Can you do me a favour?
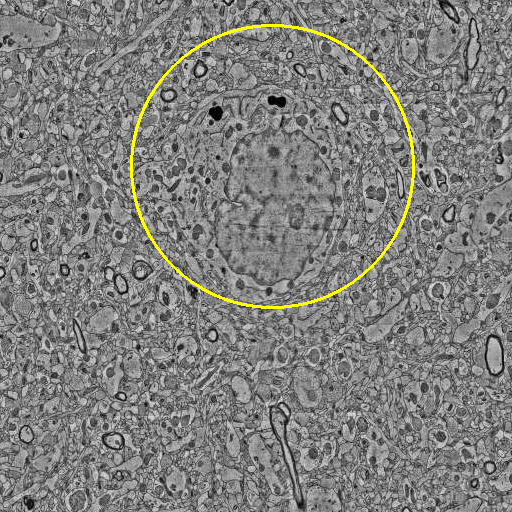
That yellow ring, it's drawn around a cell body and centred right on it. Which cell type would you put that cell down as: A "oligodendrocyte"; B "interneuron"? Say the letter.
B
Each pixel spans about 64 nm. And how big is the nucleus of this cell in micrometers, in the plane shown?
In this plane the nucleus is about 10 micrometres by 8.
